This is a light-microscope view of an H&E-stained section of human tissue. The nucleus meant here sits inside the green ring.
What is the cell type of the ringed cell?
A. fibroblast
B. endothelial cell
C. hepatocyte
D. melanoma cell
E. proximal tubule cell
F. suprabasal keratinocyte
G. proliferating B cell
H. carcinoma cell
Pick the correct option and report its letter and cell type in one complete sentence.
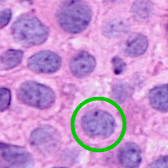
Option H holds, since the ringed cell is a carcinoma cell.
